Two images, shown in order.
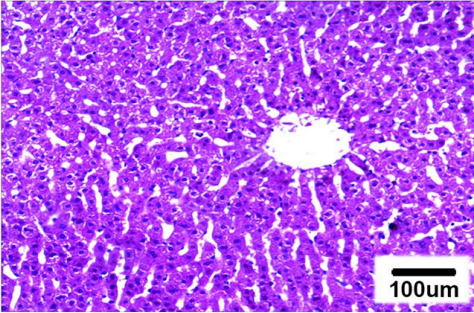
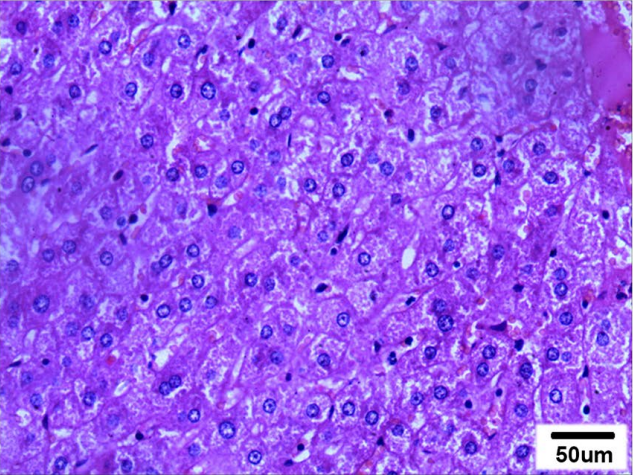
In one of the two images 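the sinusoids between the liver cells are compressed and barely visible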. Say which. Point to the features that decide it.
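First image: clear white clefts run between the cords of liver cells. Second image: large pale cells lie packed together with only narrow, faint spaces between them. The answer: the second image.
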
